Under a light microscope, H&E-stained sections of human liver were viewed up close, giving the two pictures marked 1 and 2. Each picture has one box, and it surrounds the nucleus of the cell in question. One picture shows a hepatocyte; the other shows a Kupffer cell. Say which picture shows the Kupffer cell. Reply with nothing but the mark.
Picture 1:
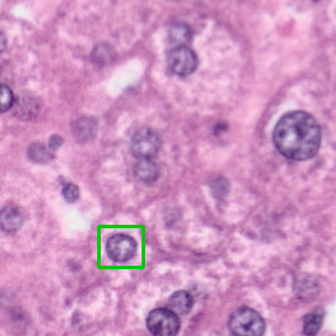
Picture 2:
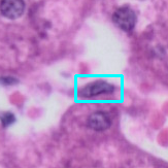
2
